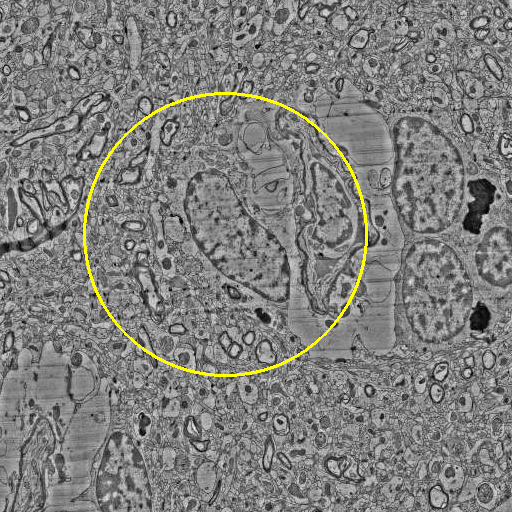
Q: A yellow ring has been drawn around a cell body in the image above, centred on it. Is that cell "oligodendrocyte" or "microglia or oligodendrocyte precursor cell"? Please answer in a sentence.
The ring surrounds the cell body of a microglial cell or oligodendrocyte precursor cell.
